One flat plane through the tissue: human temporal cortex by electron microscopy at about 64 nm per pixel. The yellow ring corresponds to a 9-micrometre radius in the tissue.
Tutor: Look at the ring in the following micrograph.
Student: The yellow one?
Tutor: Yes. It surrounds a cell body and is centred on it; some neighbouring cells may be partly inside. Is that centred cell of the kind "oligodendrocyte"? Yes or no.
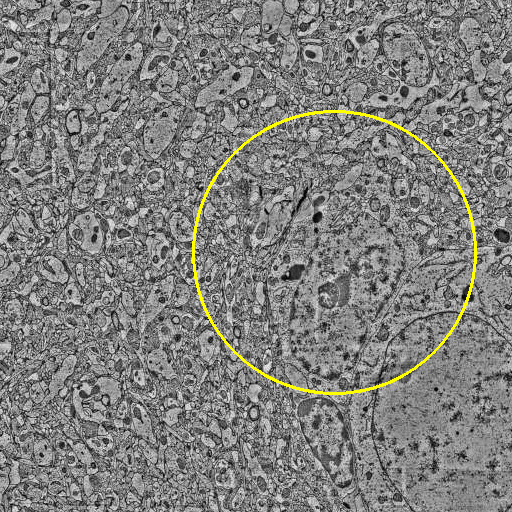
no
